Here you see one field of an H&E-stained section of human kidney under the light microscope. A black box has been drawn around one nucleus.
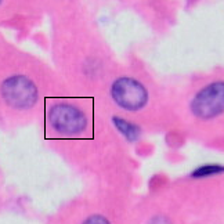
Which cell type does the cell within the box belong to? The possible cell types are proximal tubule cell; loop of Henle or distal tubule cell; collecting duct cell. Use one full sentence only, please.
It is a proximal tubule cell that the cell within the box represents.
